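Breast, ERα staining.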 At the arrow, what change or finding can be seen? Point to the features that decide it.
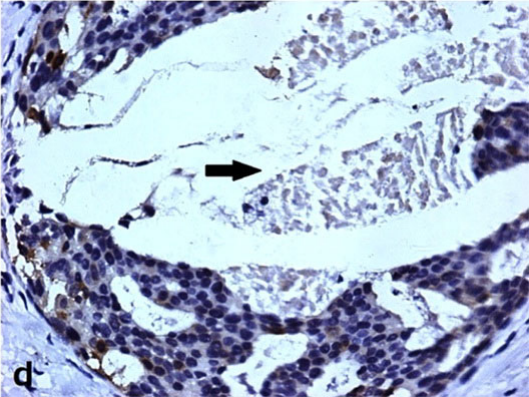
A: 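The duct lumen holds pale granular debris without intact cells. The debris is separated from the surrounding epithelium by an empty space. Viable epithelial cells with blue nuclei line the duct around it. So: necrosis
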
